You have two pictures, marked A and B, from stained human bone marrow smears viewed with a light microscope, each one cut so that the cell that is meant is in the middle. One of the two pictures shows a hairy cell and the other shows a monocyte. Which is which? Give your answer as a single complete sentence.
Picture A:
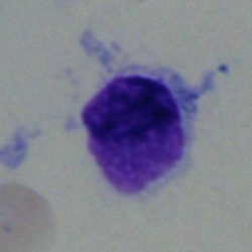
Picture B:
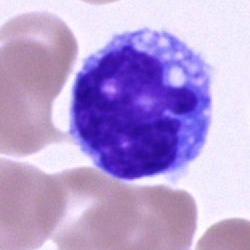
Picture B shows a monocyte, while picture A shows a hairy cell.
